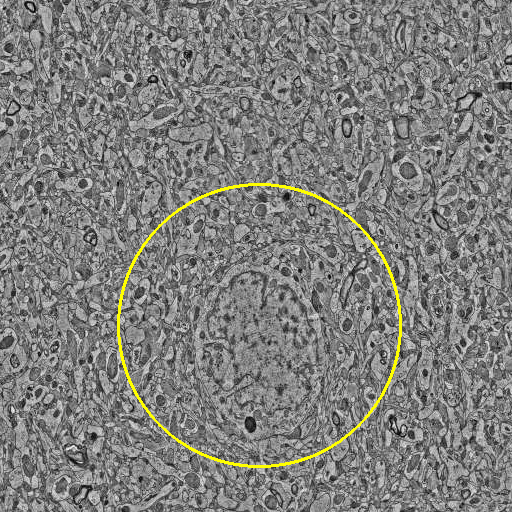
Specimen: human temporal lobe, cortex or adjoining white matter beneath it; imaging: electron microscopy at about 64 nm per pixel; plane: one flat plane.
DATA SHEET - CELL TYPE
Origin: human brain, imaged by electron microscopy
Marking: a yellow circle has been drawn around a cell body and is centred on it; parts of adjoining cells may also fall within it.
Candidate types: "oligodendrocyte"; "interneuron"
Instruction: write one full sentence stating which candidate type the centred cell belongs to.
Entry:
The cell body at the centre of the yellow ring in this micrograph belongs to an interneuron.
